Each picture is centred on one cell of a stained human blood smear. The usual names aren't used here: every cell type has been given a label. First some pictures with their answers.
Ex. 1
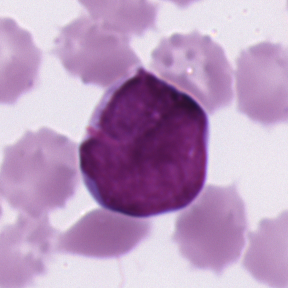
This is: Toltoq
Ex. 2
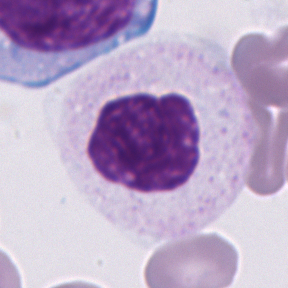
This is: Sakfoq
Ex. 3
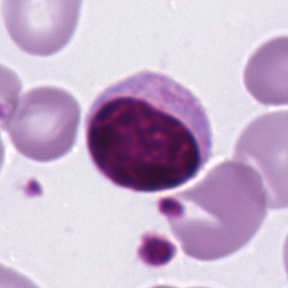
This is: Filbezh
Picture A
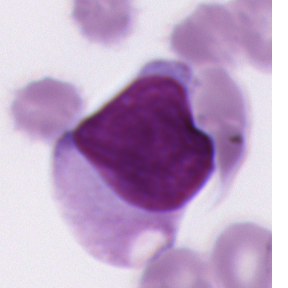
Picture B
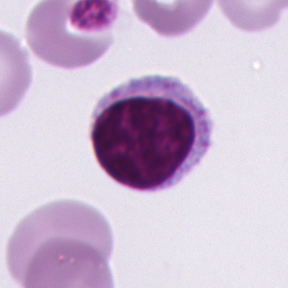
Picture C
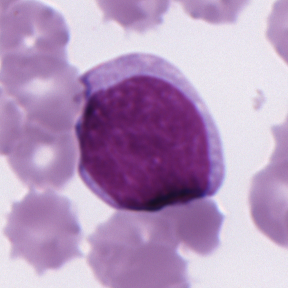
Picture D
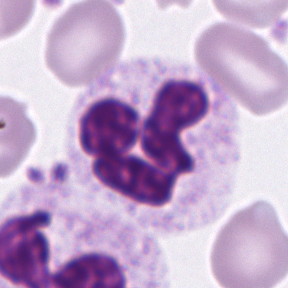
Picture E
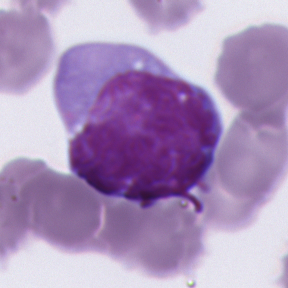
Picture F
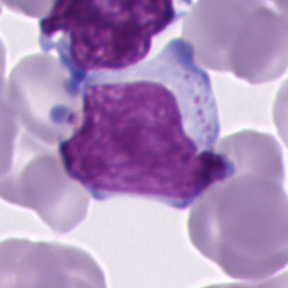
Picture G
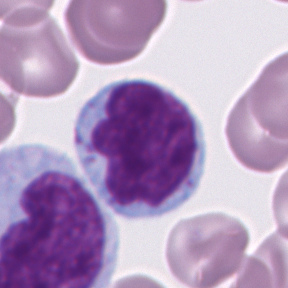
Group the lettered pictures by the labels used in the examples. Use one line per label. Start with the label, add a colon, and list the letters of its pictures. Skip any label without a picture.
Toltoq: A, C, E
Sakfoq: D
Filbezh: B, F, G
